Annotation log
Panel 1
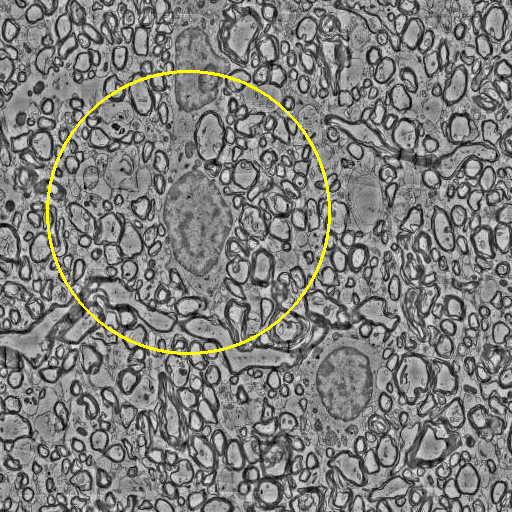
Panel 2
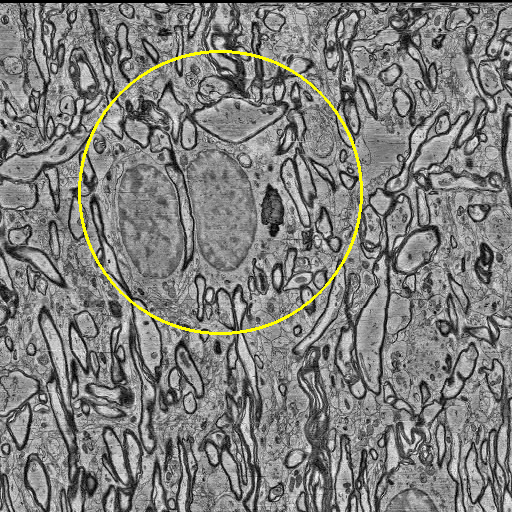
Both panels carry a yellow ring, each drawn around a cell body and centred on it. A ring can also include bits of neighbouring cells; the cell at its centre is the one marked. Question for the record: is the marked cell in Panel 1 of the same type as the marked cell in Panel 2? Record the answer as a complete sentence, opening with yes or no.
Yes, the marked cells in Panel 1 and Panel 2 are of the same type.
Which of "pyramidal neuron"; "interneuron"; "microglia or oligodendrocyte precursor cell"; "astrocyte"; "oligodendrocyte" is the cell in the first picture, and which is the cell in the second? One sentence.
Each of the two rings surrounds an oligodendrocyte.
